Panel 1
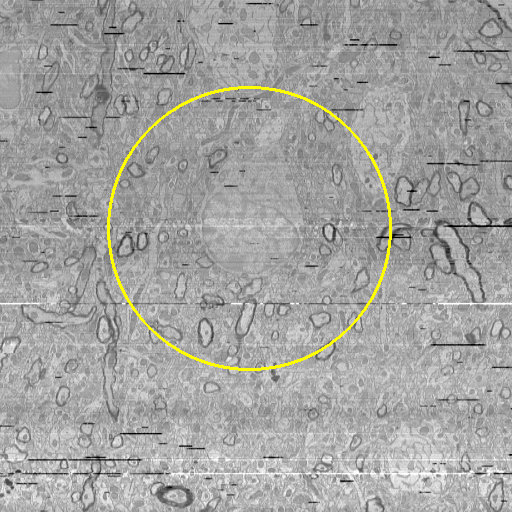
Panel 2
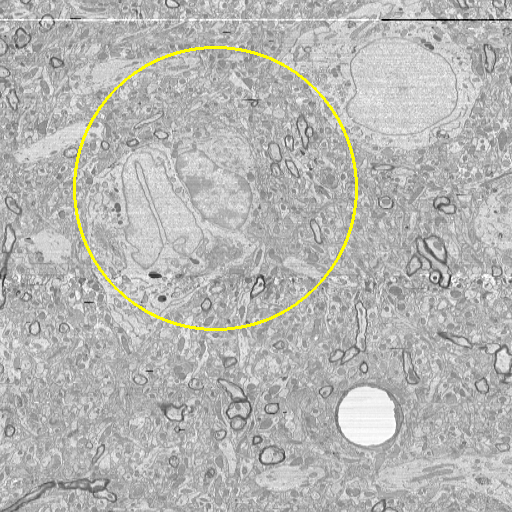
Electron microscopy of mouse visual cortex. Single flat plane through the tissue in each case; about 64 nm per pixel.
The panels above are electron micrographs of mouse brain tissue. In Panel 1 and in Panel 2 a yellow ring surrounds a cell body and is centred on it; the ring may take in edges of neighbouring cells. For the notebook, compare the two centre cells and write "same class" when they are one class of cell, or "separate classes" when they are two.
same class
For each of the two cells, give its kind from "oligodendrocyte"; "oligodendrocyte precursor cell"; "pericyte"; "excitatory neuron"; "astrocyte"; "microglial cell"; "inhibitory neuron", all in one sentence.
The second cell is an oligodendrocyte, just as the first is.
